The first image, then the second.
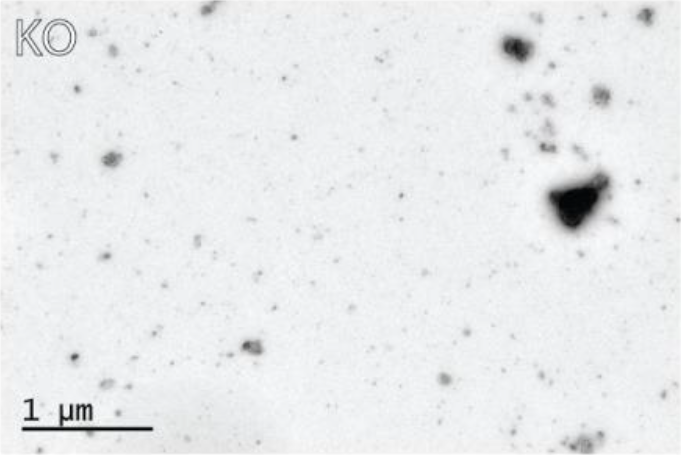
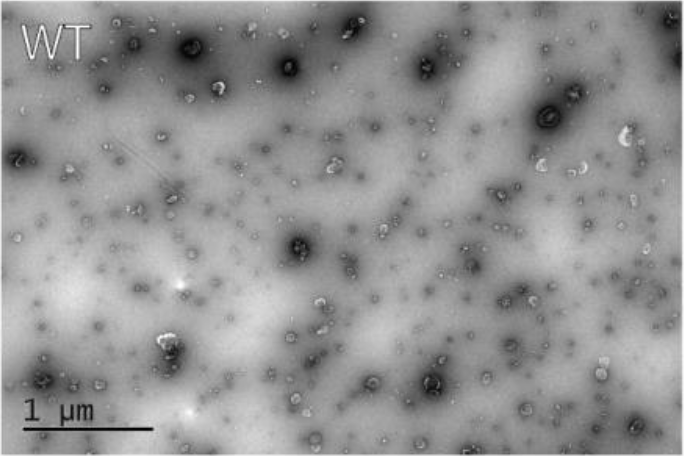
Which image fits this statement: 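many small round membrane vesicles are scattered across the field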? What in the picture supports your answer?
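The second image. First image: only sparse small dark specks and a few clumps, with hardly any round vesicle outlines. Second image: the field is densely strewn with small round vesicle profiles of varying size, many with dark stain rims.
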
